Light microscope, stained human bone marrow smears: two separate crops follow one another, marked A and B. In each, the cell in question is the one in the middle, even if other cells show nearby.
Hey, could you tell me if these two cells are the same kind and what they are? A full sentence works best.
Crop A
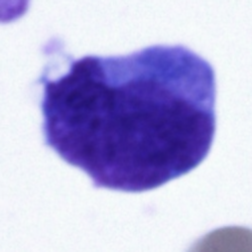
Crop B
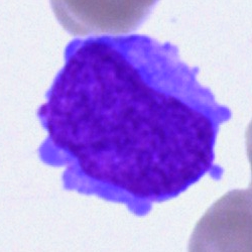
Yes, blasts are what the two crops show.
